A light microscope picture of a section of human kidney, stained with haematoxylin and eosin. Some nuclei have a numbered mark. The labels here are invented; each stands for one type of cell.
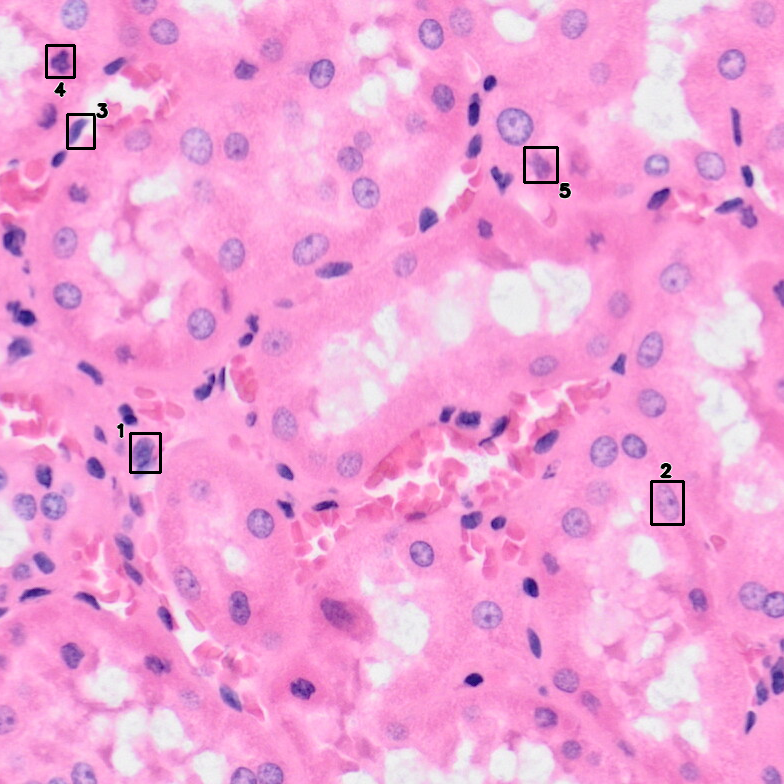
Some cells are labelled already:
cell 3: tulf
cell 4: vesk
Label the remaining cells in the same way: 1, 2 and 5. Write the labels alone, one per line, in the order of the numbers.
tulf
vesk
vesk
